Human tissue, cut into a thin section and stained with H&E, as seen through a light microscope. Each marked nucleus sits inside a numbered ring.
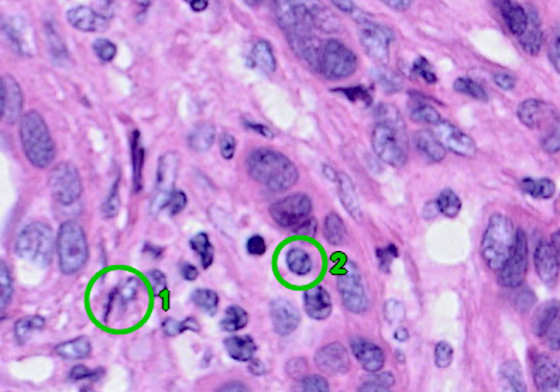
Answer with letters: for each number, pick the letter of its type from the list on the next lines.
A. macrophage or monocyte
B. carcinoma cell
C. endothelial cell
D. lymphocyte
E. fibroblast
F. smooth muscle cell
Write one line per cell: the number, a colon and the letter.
1: E
2: D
